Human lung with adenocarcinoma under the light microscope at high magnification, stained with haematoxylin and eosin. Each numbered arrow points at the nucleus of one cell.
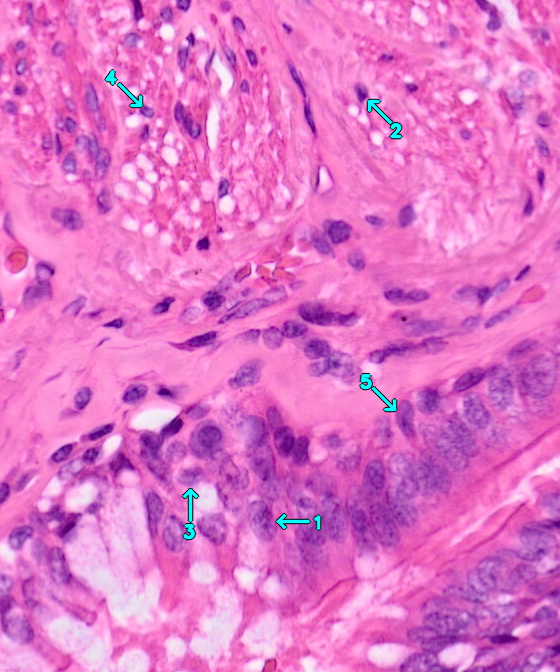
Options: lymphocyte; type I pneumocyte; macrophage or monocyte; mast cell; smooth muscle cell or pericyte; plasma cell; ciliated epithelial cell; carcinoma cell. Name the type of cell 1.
ciliated epithelial cell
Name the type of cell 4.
smooth muscle cell or pericyte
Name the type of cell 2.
smooth muscle cell or pericyte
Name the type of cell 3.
ciliated epithelial cell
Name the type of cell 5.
ciliated epithelial cell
